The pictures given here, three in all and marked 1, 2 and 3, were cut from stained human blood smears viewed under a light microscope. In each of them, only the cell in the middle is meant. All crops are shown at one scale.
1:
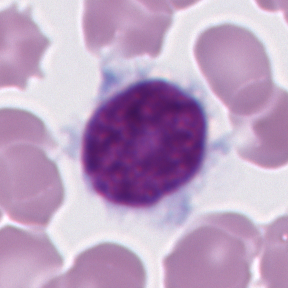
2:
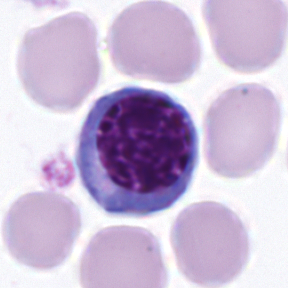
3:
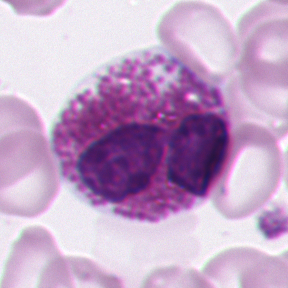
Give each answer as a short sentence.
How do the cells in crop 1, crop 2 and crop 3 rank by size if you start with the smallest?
From the smallest up, the order is 2, 1, 3.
